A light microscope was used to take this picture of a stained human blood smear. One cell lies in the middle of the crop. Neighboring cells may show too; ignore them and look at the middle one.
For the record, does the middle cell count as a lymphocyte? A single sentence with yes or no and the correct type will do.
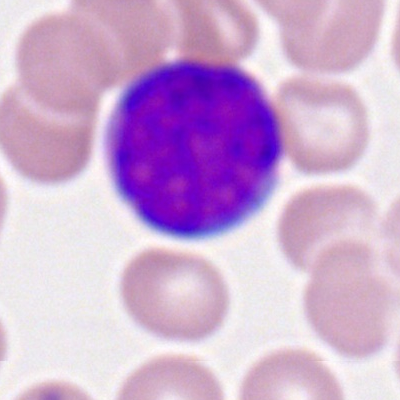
No, it isn't a lymphocyte; what sits in the middle is a myeloblast.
